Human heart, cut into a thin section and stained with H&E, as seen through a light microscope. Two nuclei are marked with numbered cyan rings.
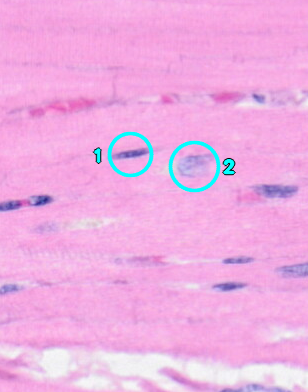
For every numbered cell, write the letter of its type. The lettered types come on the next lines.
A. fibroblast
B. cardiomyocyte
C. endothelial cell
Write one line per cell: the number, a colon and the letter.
1: C
2: B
